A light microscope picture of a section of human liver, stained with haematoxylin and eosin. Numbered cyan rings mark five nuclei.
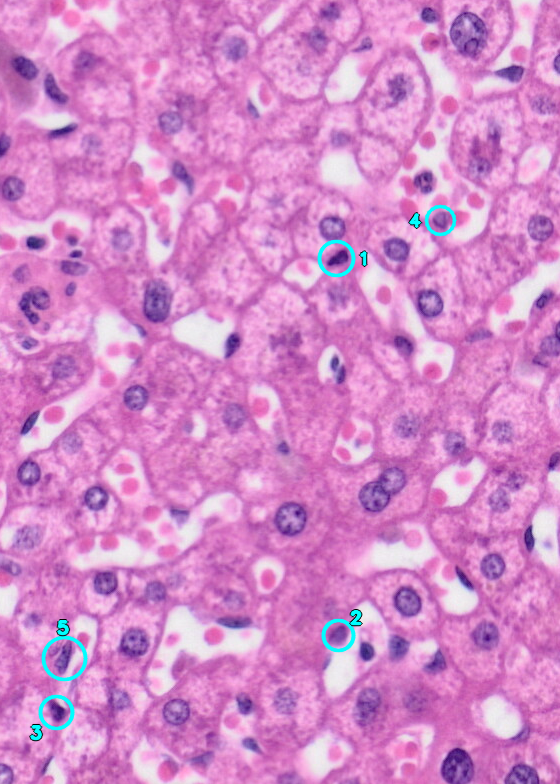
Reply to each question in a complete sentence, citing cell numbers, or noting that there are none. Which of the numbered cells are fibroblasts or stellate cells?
The numbers 1 and 3 in this section indicate fibroblasts or stellate cells.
